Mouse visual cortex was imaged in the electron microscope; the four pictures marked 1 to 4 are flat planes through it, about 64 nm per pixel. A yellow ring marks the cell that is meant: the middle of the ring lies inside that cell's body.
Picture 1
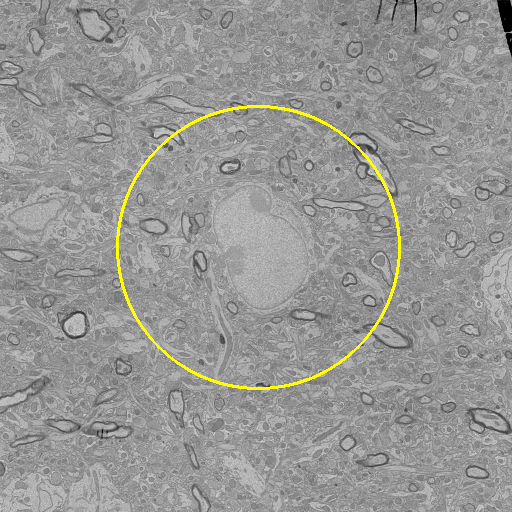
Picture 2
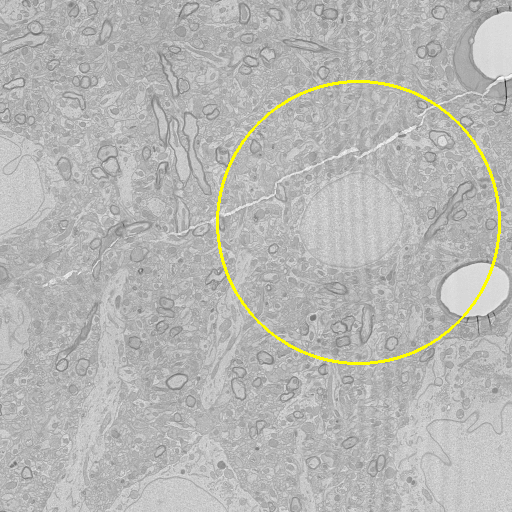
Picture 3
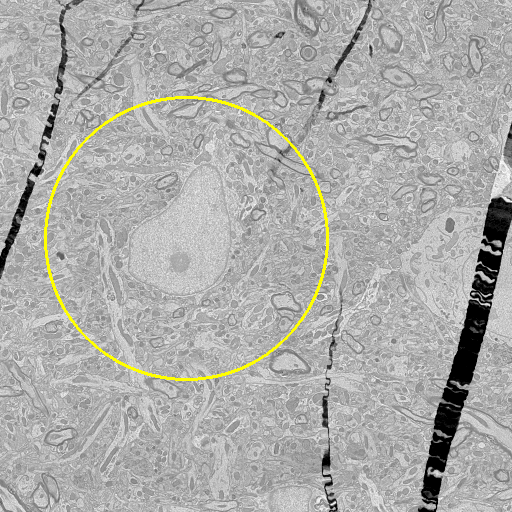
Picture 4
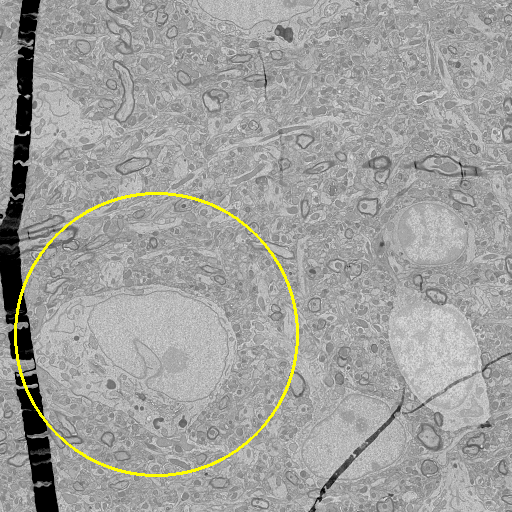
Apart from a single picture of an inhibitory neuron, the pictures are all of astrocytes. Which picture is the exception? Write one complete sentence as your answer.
Picture 4 is the one that shows the inhibitory neuron.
